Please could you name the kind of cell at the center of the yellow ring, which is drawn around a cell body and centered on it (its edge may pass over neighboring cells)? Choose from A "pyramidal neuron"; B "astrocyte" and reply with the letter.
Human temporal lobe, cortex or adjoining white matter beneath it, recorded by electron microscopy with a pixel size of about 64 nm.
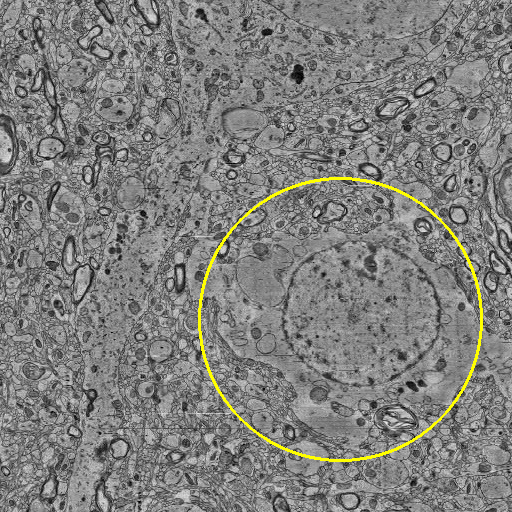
B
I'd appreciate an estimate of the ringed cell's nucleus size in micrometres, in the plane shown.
About 10 micrometres across, as seen in this plane.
